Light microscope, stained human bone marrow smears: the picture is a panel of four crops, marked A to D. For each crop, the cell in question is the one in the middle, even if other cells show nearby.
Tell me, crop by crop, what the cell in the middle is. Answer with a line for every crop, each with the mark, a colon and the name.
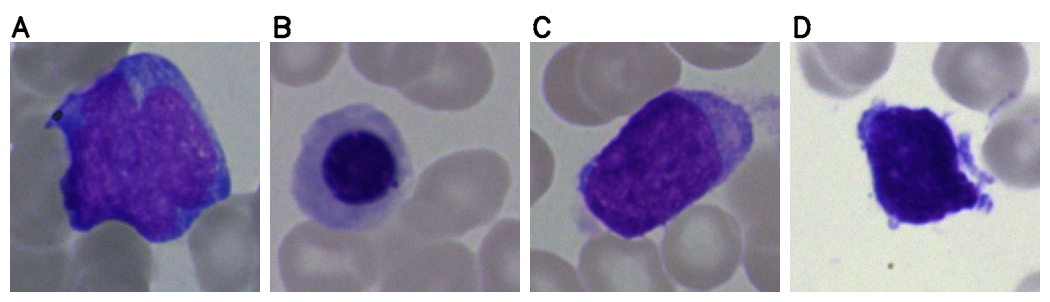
A: blast
B: erythroblast
C: blast
D: blast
